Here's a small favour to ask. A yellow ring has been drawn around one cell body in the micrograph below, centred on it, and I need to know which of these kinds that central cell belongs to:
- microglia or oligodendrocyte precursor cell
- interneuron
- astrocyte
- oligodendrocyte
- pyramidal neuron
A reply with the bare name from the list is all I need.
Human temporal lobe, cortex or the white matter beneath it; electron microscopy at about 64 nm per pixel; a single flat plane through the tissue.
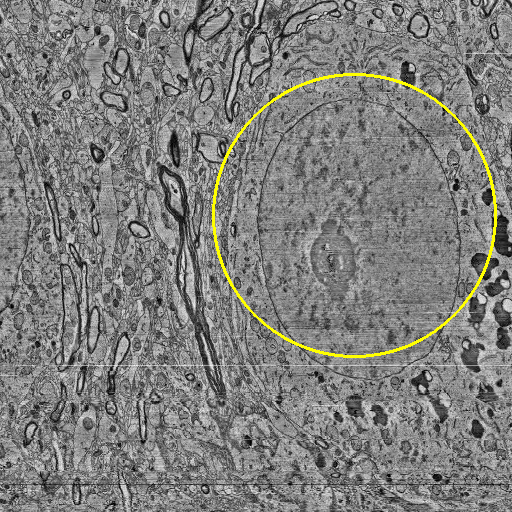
pyramidal neuron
